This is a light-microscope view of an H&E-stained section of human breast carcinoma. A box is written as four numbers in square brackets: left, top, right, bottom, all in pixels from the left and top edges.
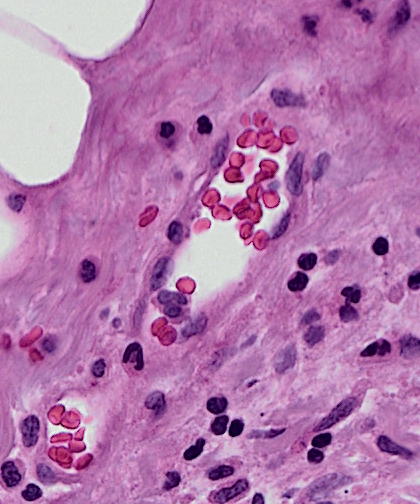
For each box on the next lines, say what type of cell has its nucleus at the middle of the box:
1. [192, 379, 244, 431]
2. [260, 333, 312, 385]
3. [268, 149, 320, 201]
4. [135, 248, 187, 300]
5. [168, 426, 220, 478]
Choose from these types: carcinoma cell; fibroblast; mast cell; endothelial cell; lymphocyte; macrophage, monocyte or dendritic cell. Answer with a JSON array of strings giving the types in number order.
["lymphocyte", "fibroblast", "endothelial cell", "endothelial cell", "lymphocyte"]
